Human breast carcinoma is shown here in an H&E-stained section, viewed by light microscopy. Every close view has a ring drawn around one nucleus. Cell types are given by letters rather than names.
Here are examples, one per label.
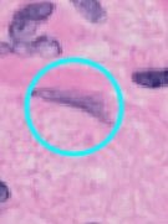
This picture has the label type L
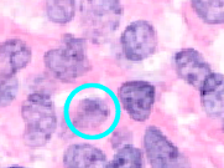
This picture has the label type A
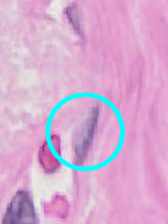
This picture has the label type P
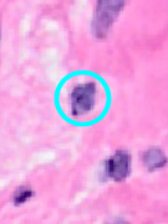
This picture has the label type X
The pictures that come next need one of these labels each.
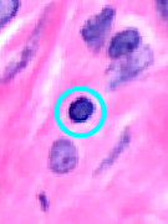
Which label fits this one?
type X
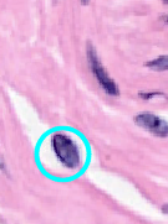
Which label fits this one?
type X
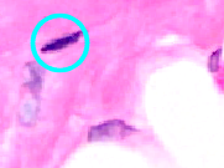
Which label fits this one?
type L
